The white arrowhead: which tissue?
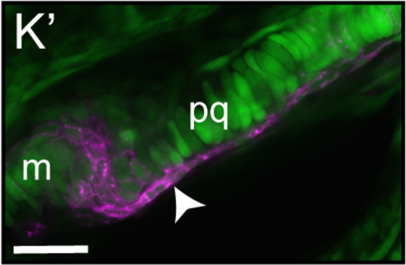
perichondrium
